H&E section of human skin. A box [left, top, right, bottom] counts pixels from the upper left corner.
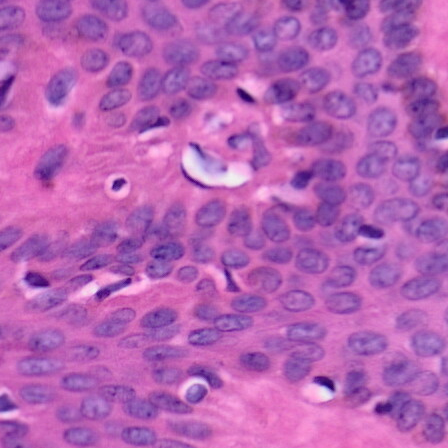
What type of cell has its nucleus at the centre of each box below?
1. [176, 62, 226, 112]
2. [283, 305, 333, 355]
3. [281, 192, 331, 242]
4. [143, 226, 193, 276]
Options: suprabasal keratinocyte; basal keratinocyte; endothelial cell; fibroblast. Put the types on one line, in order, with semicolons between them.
basal keratinocyte; suprabasal keratinocyte; basal keratinocyte; basal keratinocyte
